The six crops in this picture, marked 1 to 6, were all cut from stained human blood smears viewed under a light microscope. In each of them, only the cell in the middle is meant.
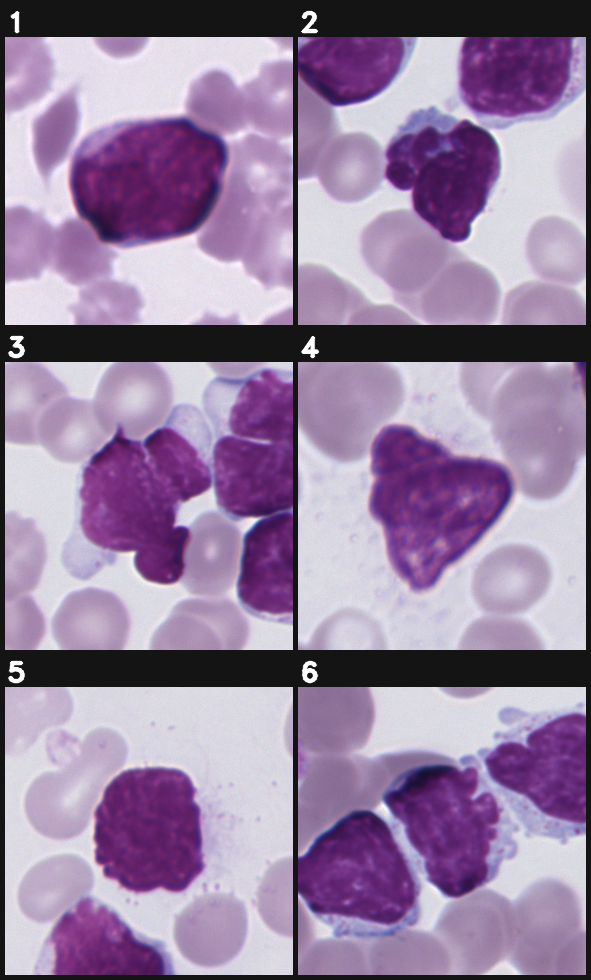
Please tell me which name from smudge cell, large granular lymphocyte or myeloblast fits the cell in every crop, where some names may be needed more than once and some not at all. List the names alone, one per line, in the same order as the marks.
myeloblast
large granular lymphocyte
large granular lymphocyte
smudge cell
smudge cell
large granular lymphocyte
